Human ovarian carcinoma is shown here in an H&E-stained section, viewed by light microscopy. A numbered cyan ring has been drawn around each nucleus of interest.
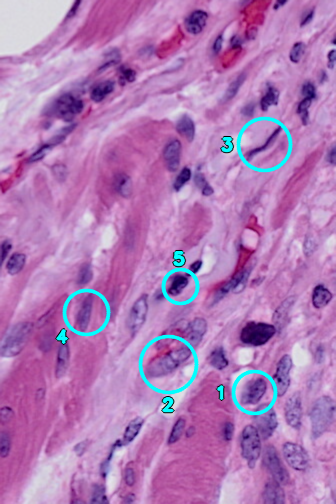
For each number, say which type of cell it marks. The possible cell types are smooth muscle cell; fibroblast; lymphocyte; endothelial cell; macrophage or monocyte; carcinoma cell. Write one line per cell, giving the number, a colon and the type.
1: macrophage or monocyte
2: endothelial cell
3: fibroblast
4: smooth muscle cell
5: lymphocyte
